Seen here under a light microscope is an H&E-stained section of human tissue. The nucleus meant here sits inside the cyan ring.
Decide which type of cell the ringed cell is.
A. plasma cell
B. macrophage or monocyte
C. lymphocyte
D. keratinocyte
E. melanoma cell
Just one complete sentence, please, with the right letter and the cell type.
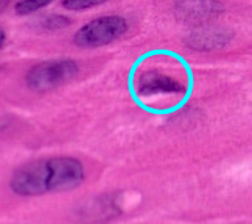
The statement that the ringed cell is a keratinocyte corresponds to option D, the correct one.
